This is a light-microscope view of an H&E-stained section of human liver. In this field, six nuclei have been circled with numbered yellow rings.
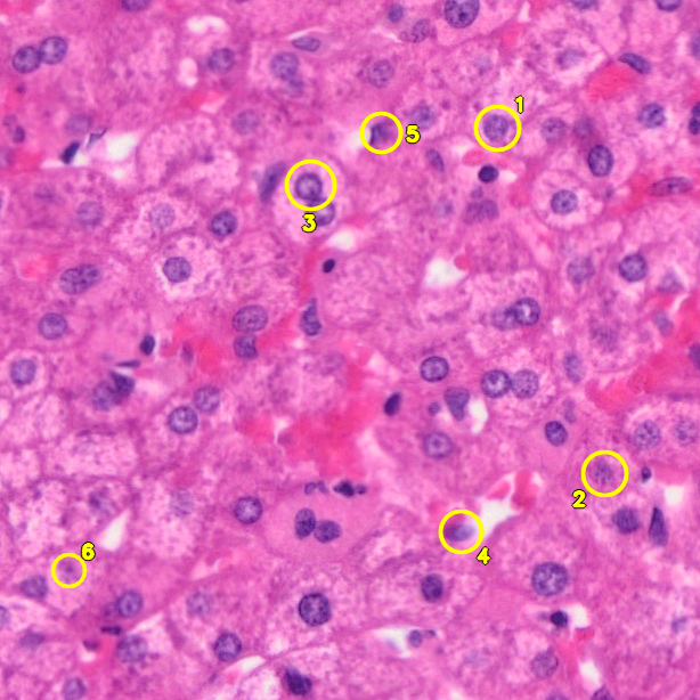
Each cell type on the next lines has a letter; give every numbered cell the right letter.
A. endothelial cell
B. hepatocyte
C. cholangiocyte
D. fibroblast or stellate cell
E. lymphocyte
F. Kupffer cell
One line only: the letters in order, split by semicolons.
B; B; B; A; A; B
